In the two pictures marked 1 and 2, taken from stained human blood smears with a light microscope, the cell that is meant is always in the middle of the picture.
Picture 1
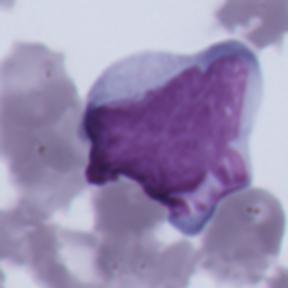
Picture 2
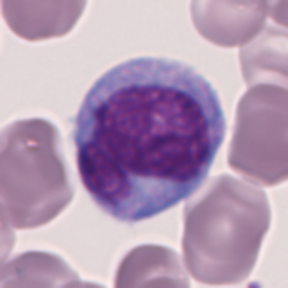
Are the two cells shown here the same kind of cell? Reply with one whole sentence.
No, they differ: the cell is a myeloblast in picture 1 and a monocyte in picture 2.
